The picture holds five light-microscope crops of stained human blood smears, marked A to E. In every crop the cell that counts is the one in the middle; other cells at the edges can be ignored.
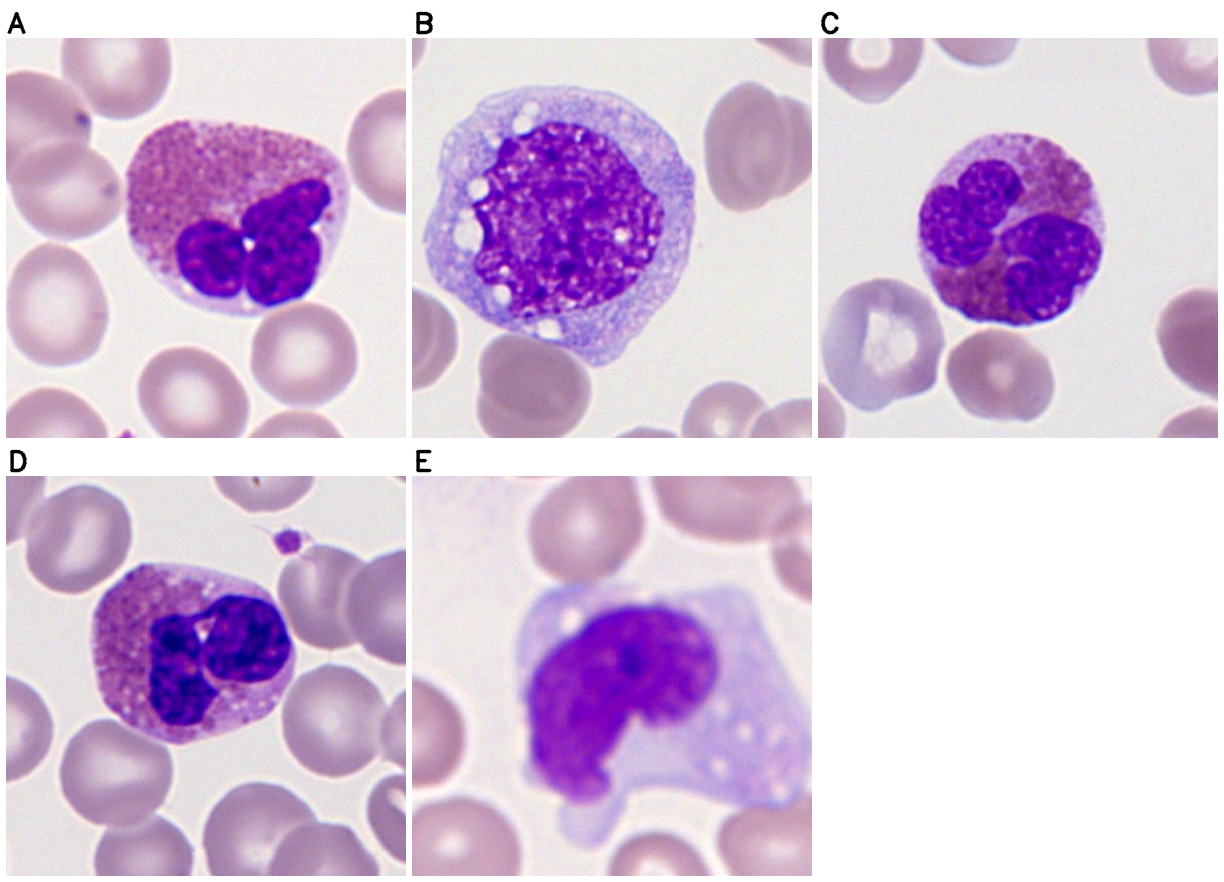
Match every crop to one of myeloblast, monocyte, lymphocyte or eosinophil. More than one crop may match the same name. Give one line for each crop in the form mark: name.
A: eosinophil
B: monocyte
C: eosinophil
D: eosinophil
E: monocyte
